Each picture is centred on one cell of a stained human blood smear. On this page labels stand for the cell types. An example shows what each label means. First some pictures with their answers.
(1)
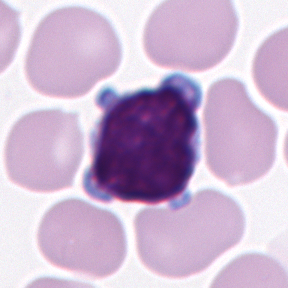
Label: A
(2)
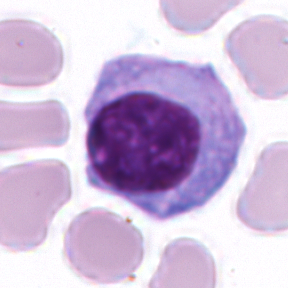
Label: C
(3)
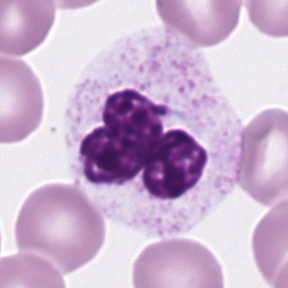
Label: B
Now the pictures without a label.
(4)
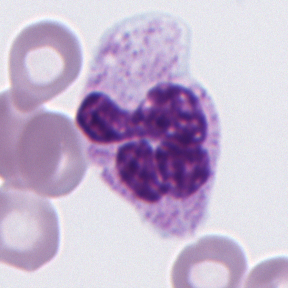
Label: B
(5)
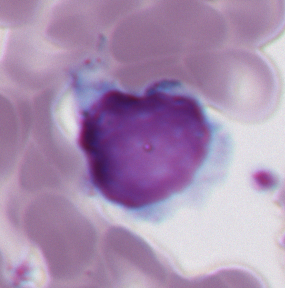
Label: A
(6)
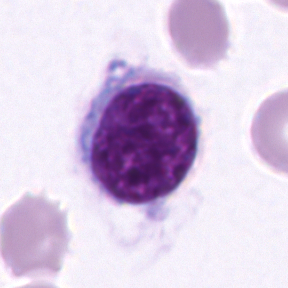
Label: C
